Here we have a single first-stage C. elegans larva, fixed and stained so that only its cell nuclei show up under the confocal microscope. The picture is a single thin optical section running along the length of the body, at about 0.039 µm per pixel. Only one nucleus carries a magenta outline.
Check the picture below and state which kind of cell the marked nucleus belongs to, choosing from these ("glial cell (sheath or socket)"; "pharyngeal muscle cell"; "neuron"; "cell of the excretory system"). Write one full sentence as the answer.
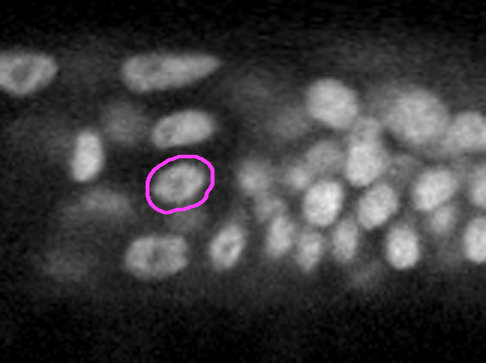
The cell with the marked nucleus is a pharyngeal muscle cell.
